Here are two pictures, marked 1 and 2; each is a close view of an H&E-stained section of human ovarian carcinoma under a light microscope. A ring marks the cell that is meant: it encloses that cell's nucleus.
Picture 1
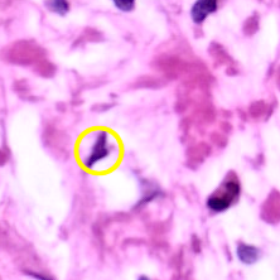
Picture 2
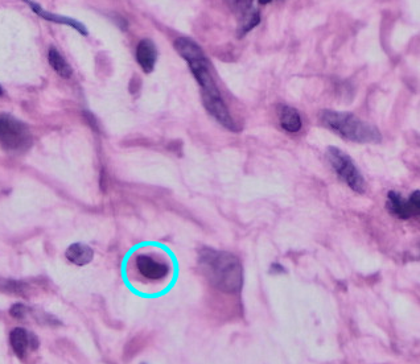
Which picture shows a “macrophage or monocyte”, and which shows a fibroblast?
1: fibroblast
2: macrophage or monocyte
